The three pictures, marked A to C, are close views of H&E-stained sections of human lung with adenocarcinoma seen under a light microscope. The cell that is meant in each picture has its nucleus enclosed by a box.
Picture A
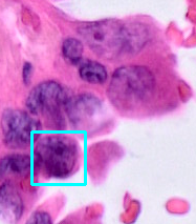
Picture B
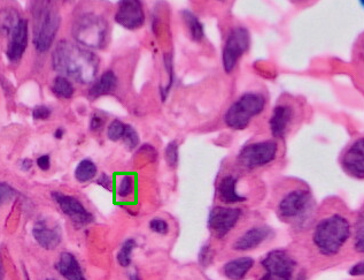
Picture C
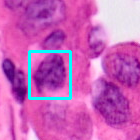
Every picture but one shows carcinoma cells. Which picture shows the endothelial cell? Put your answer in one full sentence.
The endothelial cell is the one in picture B.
